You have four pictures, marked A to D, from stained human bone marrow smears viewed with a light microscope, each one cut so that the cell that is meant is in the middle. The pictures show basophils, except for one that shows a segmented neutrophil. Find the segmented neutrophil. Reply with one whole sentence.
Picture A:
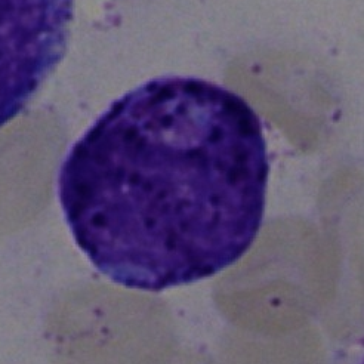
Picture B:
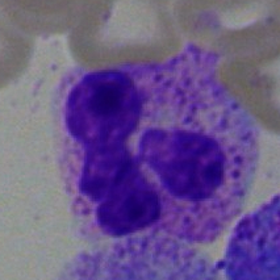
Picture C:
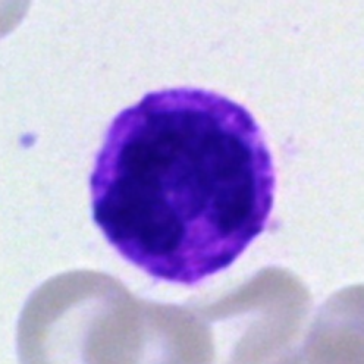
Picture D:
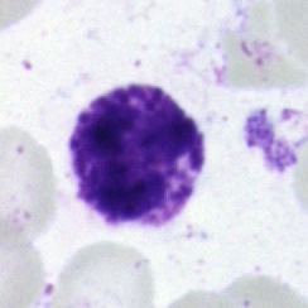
Picture B is the one that shows the segmented neutrophil.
